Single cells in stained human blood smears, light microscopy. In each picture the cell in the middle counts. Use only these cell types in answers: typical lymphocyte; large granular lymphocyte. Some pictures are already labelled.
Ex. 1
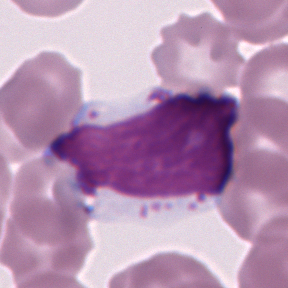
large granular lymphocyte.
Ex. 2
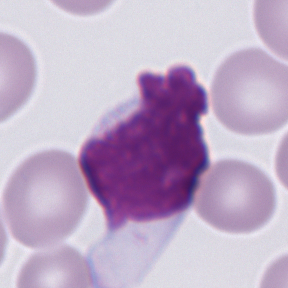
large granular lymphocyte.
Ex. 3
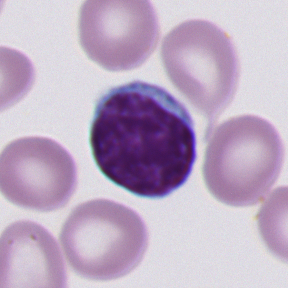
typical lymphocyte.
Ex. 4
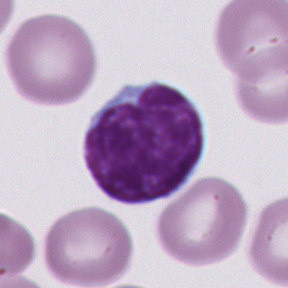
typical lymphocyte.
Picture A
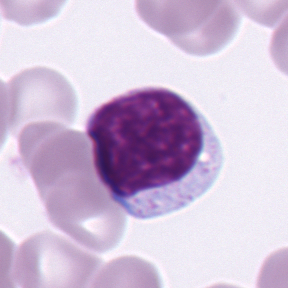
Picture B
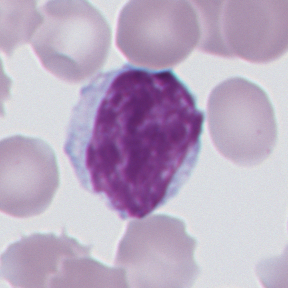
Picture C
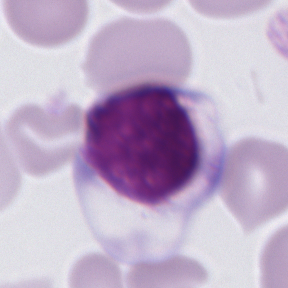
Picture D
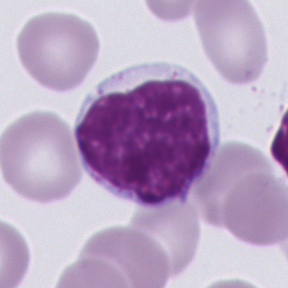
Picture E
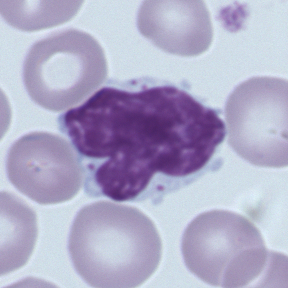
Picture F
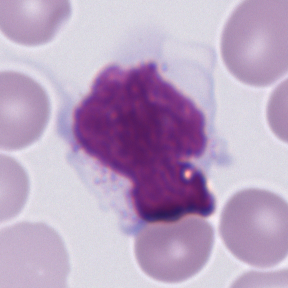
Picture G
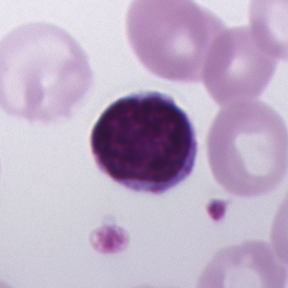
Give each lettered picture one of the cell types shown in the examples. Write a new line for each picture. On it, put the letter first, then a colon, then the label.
A: large granular lymphocyte.
B: typical lymphocyte.
C: large granular lymphocyte.
D: large granular lymphocyte.
E: large granular lymphocyte.
F: large granular lymphocyte.
G: typical lymphocyte.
